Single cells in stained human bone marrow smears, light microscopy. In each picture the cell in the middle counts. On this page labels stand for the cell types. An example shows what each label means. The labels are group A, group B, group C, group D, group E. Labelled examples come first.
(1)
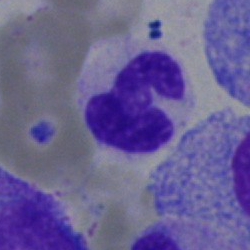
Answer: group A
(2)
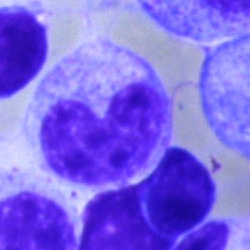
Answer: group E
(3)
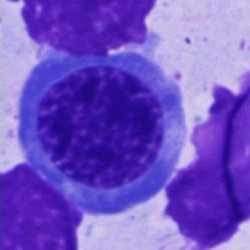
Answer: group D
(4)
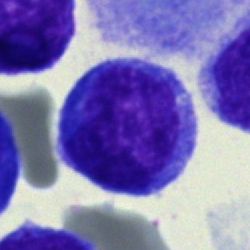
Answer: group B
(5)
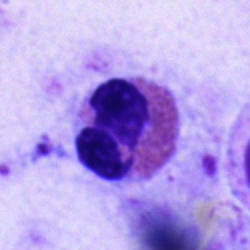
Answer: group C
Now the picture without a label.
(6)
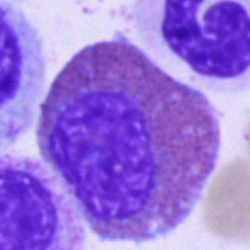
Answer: group C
